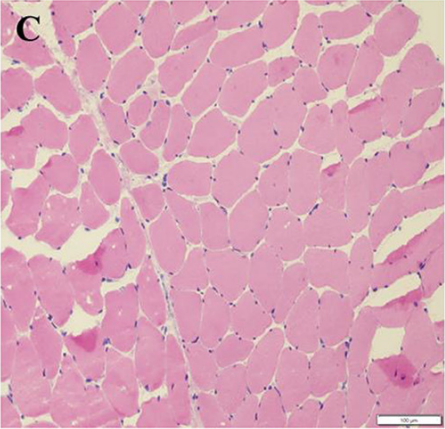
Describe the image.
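This is skeletal muscle in cross-section, stained pink with dark purple nuclei. The fibers vary clearly in size, with small rounded fibers lying among larger ones, and many are separated by wide pale gaps. Some fibers stain more intensely pink than their neighbours. Nuclei are mostly at the fiber edges, though a few appear to lie inside fibers. The picture is of muscle with increased variation in fiber size compared with a uniform, tightly packed section.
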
